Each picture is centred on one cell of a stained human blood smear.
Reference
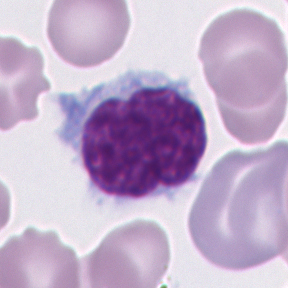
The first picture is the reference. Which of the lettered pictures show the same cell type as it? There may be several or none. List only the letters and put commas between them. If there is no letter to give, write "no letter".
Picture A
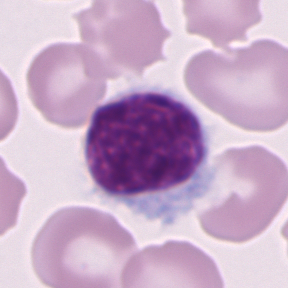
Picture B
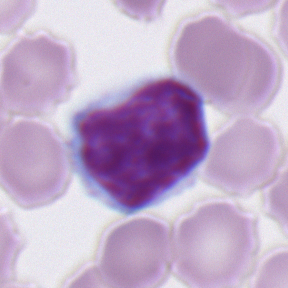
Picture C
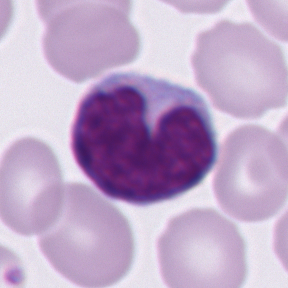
A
